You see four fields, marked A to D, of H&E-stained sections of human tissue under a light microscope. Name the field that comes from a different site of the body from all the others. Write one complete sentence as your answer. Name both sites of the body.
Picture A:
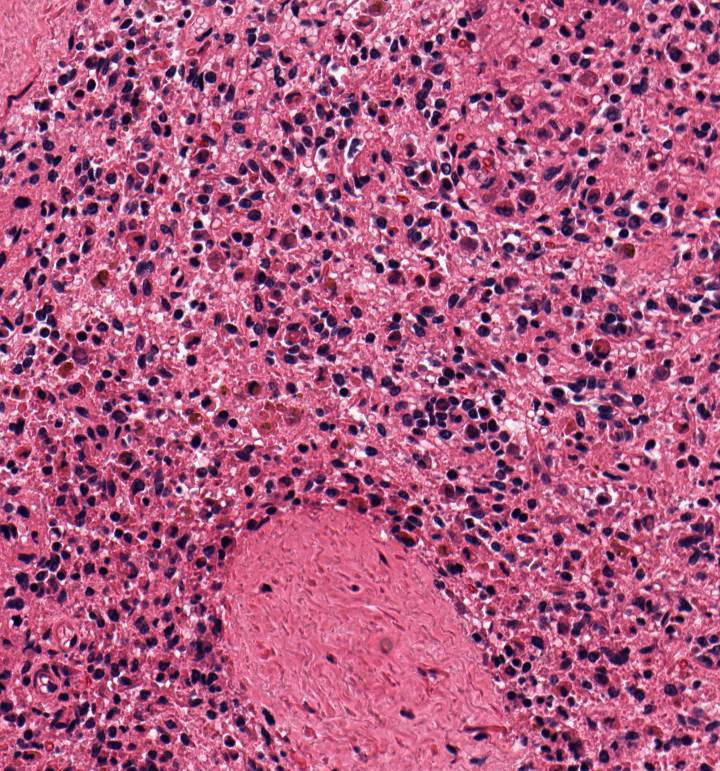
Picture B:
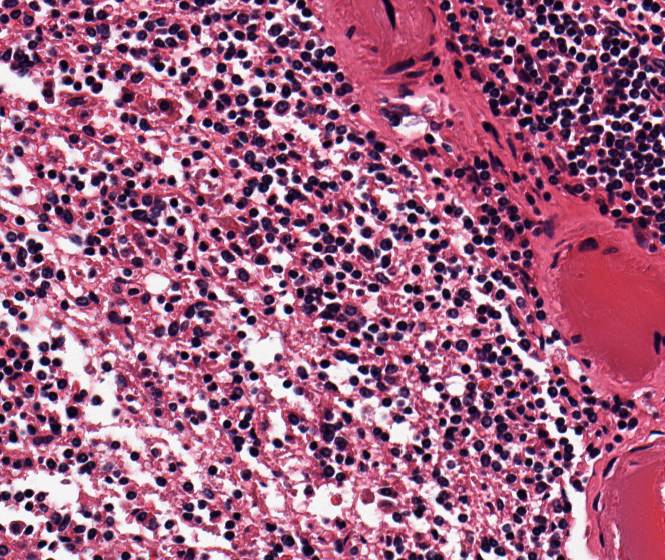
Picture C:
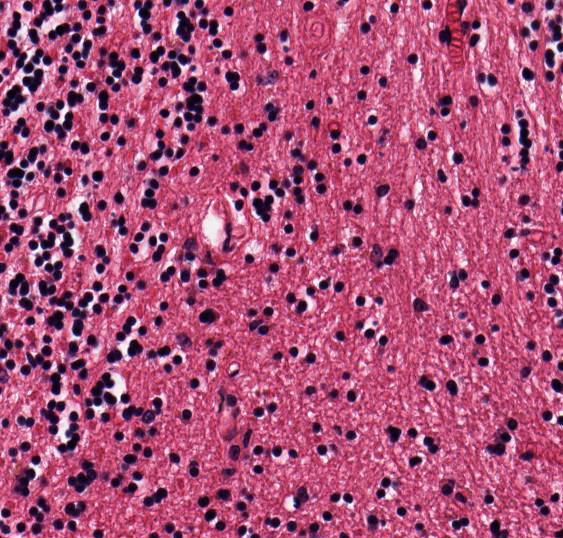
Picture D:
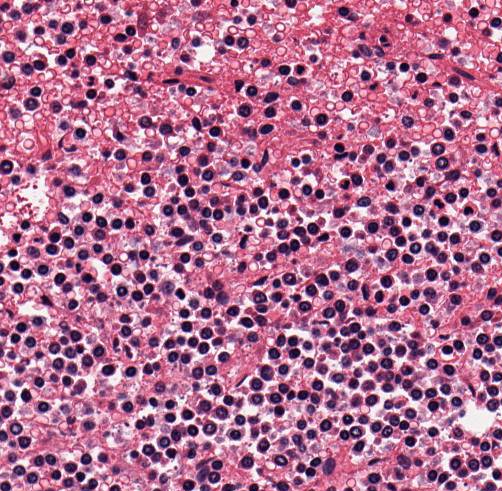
Unlike the rest, which come from the spleen, picture C comes from the cerebellum.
